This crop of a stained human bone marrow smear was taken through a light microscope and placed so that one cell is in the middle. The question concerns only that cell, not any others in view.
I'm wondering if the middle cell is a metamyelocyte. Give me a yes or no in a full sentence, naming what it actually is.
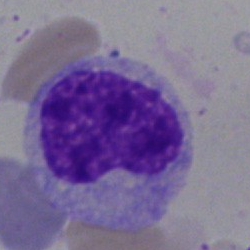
Yes, the cell that the crop is centred on is a metamyelocyte.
